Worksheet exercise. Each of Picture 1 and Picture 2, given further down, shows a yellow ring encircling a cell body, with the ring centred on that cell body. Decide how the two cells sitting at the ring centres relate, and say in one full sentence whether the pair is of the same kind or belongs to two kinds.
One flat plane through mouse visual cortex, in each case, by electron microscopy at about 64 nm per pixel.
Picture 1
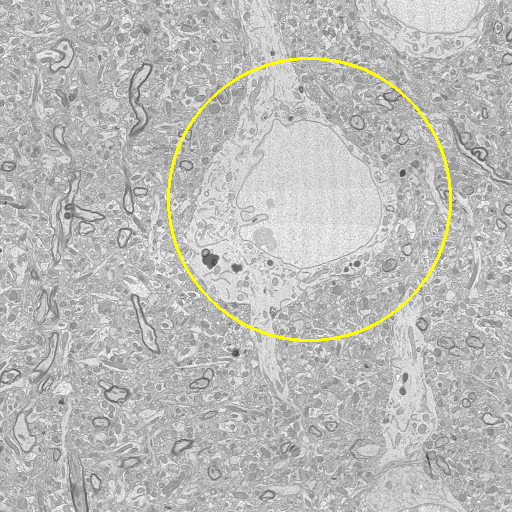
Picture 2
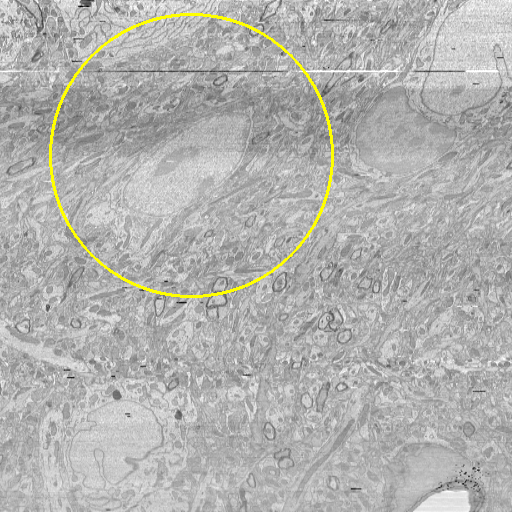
The cells at the ring centres in Picture 1 and Picture 2 belong to two kinds.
